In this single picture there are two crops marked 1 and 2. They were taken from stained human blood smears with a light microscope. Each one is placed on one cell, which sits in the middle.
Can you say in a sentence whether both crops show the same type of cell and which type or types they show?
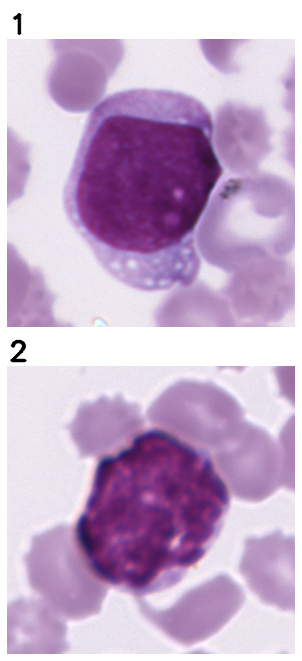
Yes, the cells at the middle of both crops are myeloblasts.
